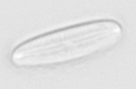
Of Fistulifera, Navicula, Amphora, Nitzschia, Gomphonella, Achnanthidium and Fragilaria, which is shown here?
Achnanthidium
